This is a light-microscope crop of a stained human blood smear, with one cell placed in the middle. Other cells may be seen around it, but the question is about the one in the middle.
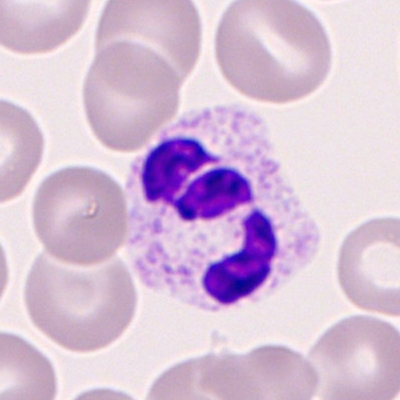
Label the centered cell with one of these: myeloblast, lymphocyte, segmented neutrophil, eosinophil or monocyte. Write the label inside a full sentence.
The crop's centre is taken up by a segmented neutrophil.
